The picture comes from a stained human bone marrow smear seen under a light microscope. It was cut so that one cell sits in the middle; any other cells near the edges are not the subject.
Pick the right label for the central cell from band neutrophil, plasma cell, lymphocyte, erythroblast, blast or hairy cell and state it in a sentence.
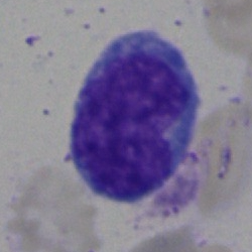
The central element of this crop is a cell, namely a blast.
